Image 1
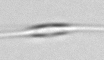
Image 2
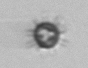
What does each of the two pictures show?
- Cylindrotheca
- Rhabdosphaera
1: Cylindrotheca
2: Rhabdosphaera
